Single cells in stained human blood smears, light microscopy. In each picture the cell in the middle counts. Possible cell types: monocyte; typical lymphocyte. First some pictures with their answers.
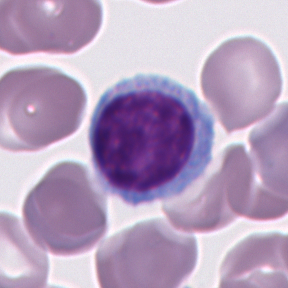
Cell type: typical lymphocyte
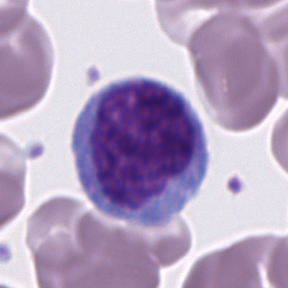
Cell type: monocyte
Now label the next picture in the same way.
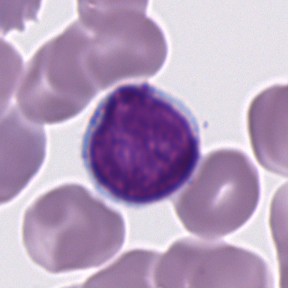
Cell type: typical lymphocyte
